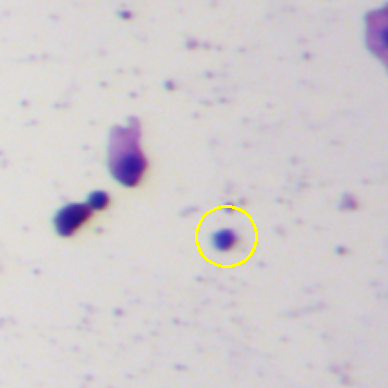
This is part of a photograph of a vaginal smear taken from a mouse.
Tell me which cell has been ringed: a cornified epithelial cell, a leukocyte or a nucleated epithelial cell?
It is a leukocyte.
